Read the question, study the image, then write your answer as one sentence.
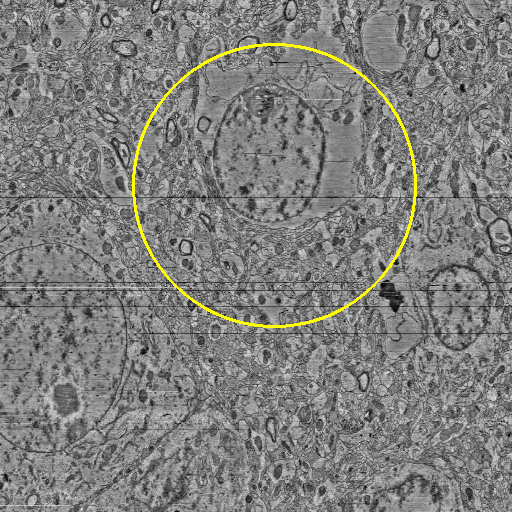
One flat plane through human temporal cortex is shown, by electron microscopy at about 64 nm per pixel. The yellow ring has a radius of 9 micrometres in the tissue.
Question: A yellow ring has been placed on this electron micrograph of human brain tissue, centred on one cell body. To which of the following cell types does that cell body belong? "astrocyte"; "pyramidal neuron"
That cell body belongs to an astrocyte.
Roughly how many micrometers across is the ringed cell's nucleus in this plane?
About 9 by 7 micrometers for the nucleus, in this plane.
